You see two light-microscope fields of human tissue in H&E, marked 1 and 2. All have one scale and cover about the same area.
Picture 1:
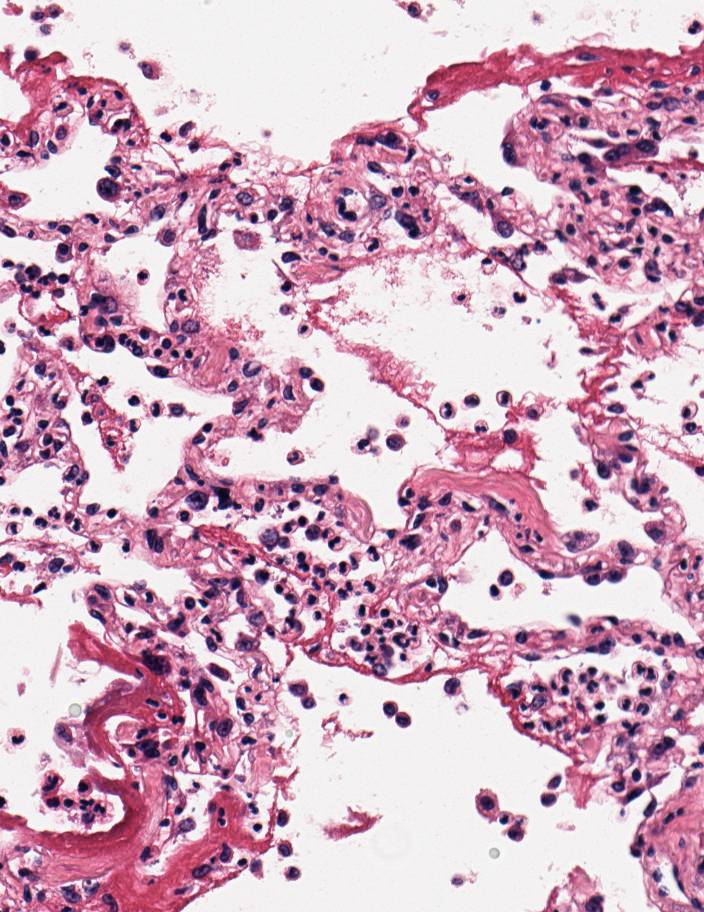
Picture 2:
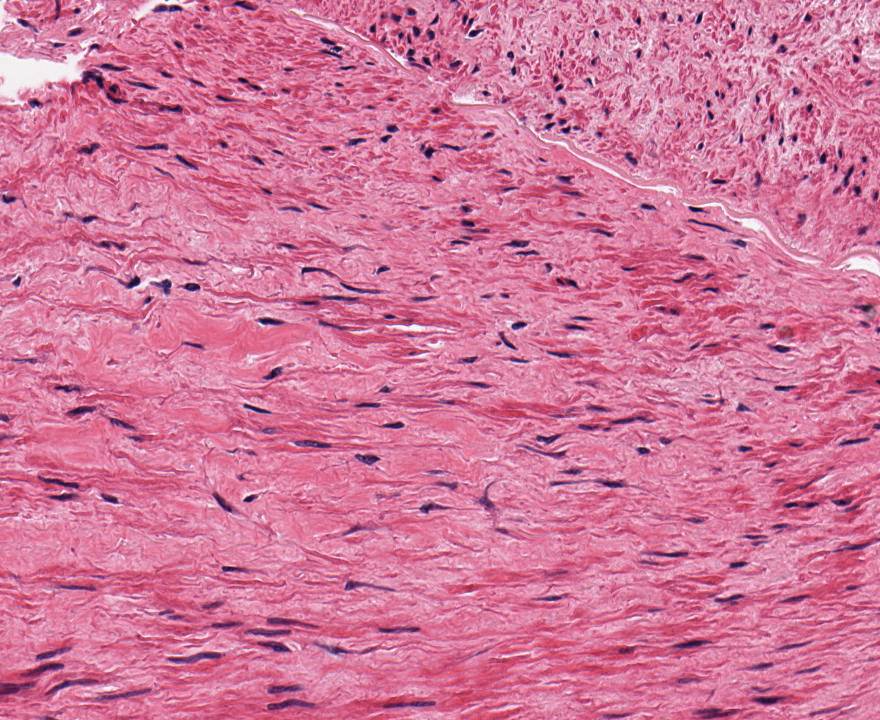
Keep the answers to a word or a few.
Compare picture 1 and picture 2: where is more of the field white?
1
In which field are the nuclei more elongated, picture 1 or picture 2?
2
